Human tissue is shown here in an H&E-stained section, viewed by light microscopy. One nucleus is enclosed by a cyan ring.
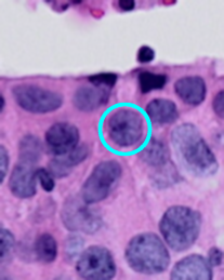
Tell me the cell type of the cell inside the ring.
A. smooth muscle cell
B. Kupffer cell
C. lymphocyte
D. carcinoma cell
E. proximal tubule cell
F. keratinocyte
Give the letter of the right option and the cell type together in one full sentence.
Option D correctly identifies the cell inside the ring as a carcinoma cell.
